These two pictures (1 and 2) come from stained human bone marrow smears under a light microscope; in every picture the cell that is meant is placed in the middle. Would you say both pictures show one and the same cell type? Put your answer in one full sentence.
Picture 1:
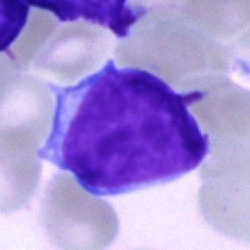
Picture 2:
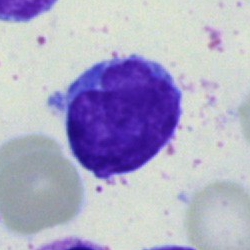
No, picture 1 shows a blast and picture 2 shows a lymphocyte.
